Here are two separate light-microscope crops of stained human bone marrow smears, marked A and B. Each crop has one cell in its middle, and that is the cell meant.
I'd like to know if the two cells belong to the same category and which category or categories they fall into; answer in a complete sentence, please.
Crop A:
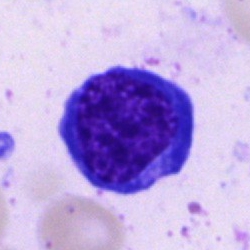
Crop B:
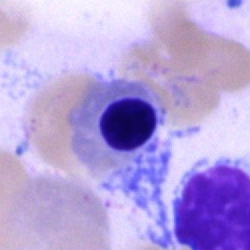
Yes, the central cells in both of the crops are erythroblasts.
